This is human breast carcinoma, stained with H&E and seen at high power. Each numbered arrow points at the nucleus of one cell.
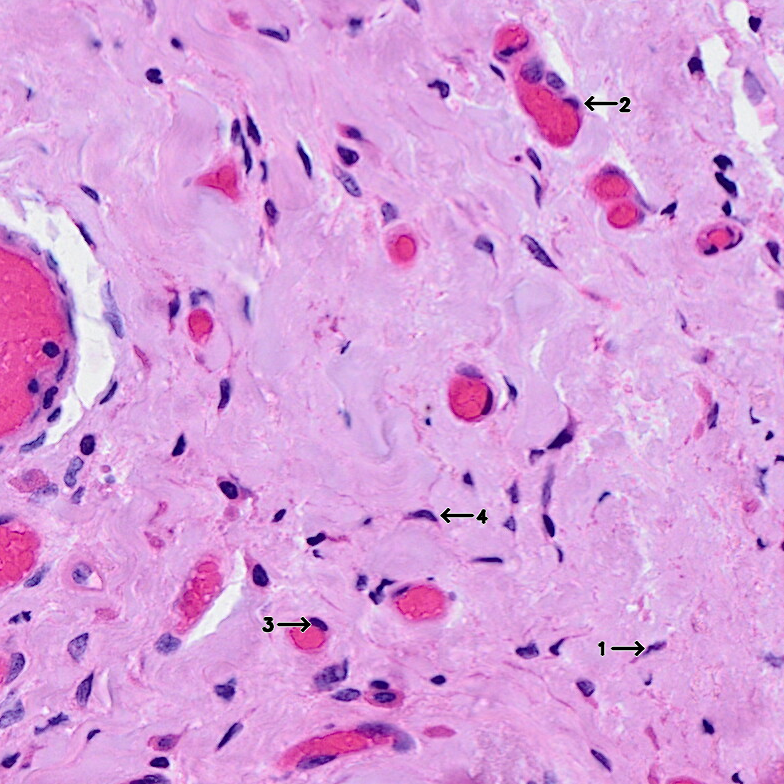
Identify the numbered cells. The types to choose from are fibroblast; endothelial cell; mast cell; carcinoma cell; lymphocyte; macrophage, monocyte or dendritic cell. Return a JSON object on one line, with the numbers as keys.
{"1": "fibroblast", "2": "endothelial cell", "3": "endothelial cell", "4": "fibroblast"}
